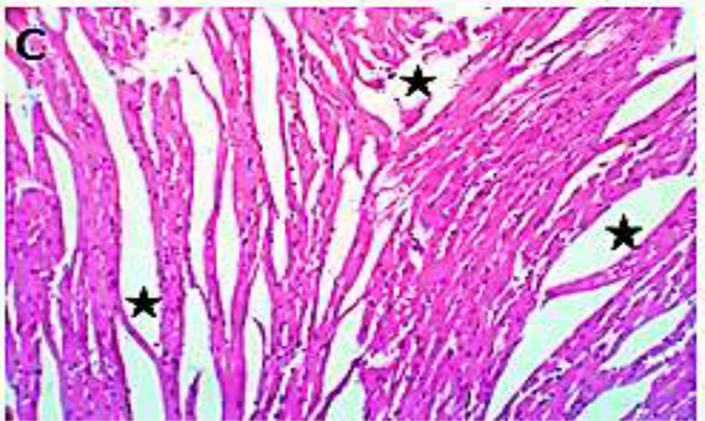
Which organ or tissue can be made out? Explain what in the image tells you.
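Long branching pink muscle fibres running in bundles. So: heart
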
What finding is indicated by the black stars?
Interstitial edema.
